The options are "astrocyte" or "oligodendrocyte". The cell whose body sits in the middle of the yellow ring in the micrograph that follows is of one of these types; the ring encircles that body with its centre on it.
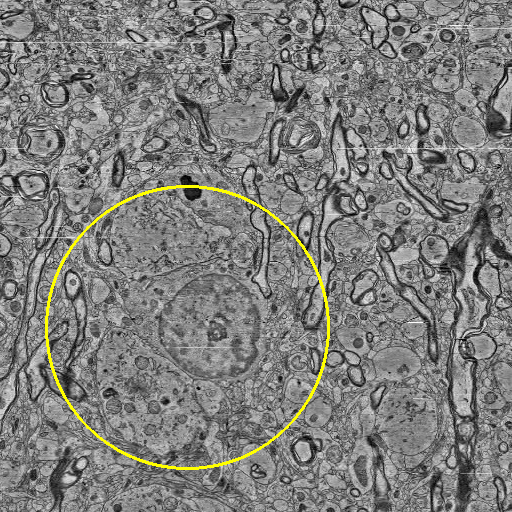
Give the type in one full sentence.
Going by the micrograph, the cell centred in the yellow ring is an oligodendrocyte.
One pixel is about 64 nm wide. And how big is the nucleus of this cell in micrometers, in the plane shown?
In this plane, the nucleus measures approximately 7 micrometres across.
